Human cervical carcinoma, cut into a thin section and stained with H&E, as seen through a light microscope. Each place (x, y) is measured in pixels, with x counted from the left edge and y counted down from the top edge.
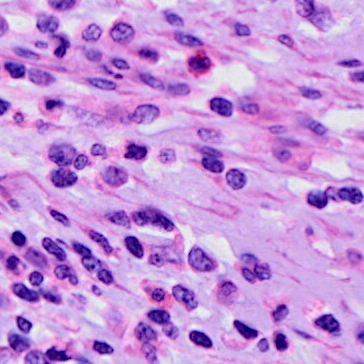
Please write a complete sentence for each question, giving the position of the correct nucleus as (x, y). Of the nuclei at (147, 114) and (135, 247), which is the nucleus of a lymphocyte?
The pair contains one nucleus of a lymphocyte, namely the one at (135, 247).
